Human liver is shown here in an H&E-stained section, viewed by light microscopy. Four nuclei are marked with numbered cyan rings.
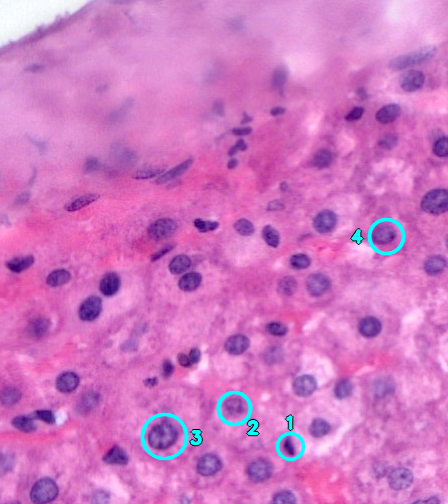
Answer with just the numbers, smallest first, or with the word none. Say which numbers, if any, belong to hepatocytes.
2, 3, 4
